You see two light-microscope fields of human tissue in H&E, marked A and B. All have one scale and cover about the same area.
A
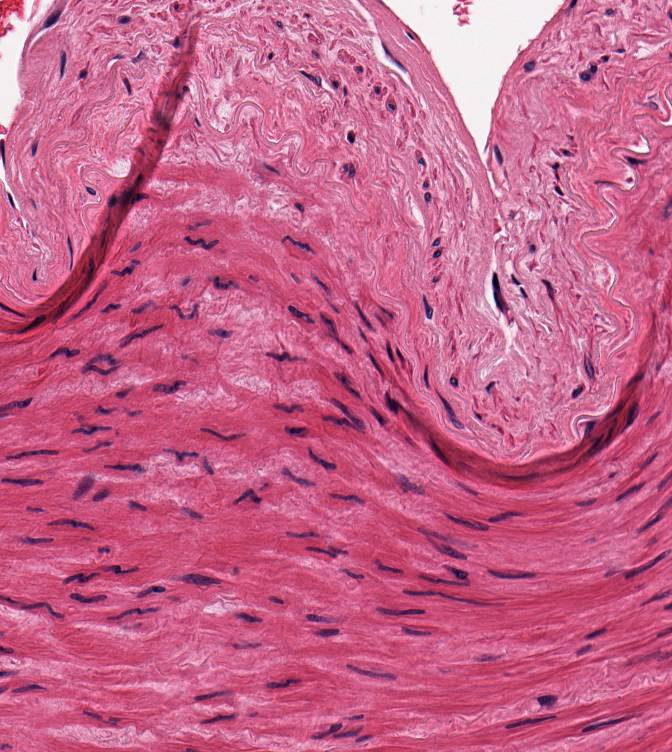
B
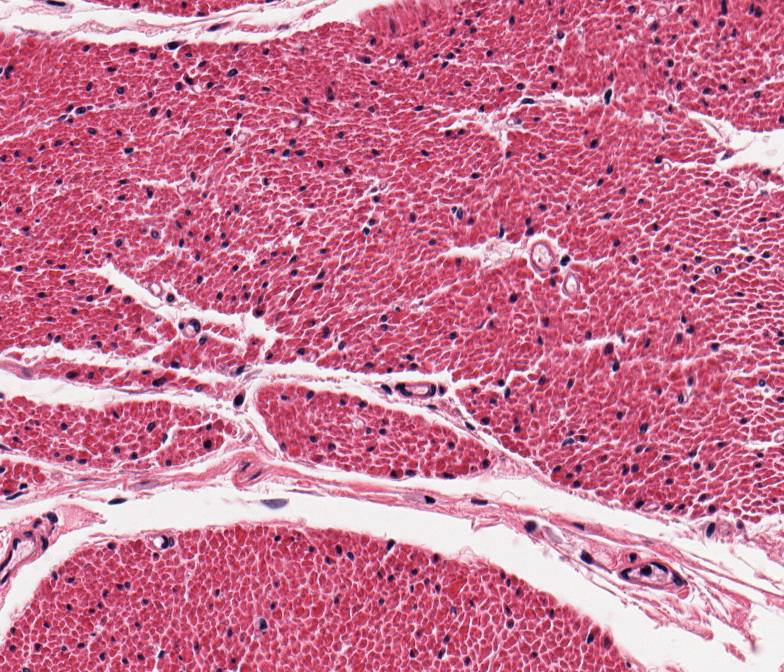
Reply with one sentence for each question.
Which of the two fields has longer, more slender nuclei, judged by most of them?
On the whole the nuclei of field A are more drawn out than those of field B.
